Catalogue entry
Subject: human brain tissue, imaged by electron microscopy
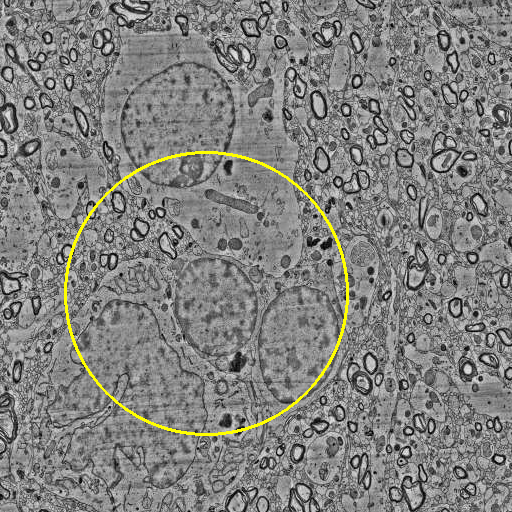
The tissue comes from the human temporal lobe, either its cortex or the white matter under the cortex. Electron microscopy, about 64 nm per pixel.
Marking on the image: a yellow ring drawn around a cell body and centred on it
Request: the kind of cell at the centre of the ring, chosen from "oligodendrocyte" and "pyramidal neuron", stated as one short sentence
The ring has an oligodendrocyte at its centre.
